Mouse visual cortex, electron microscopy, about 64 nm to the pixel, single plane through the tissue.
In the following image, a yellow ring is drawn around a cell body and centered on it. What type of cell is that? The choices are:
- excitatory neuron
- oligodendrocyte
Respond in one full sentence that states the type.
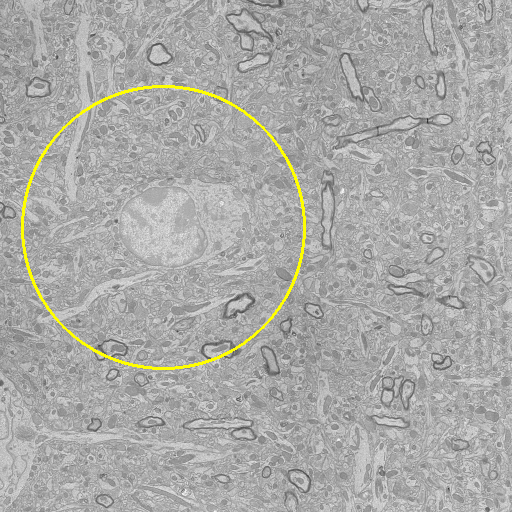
The cell at the center of the yellow ring in the image is an oligodendrocyte.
